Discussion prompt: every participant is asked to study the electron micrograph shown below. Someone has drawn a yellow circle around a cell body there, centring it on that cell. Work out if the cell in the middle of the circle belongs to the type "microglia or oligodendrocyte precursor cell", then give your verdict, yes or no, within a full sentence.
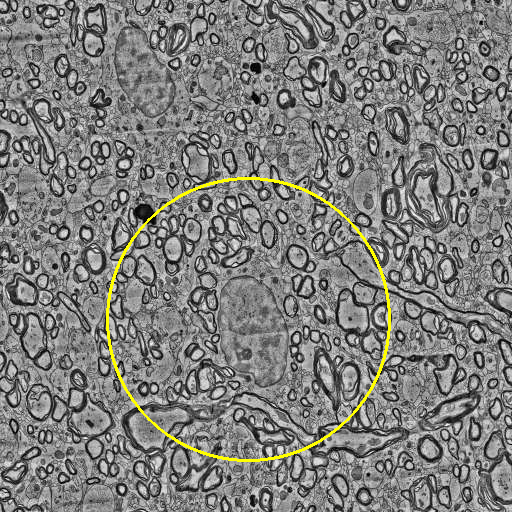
No, my verdict is that the cell in the circle's centre is of a different type.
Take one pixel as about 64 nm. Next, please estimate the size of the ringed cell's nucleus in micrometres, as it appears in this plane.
The nucleus of the ringed cell is clearly longer than it is wide in this plane, about 7 by 5 micrometres.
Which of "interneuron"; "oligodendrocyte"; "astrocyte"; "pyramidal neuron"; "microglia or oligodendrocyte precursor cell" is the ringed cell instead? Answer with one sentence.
It is an oligodendrocyte that the ring is centred on.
